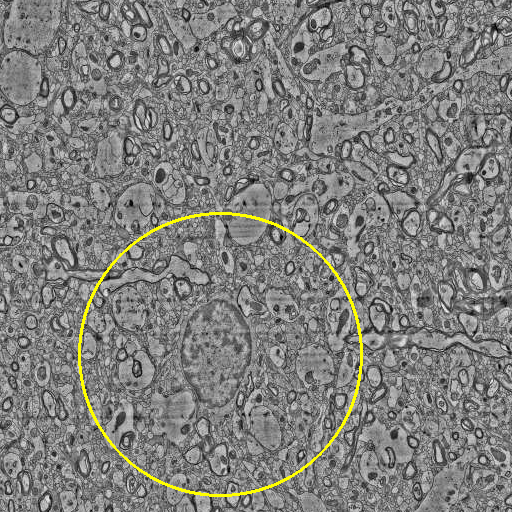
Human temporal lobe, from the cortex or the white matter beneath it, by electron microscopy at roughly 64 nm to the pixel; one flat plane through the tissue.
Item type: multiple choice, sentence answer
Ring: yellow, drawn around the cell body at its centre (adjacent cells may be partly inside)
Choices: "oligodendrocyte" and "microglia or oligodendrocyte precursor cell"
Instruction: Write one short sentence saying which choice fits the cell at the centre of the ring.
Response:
This ring is drawn around an oligodendrocyte.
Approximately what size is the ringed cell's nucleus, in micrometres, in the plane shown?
Roughly 7 by 4 micrometers, clearly longer than it is wide in this plane.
